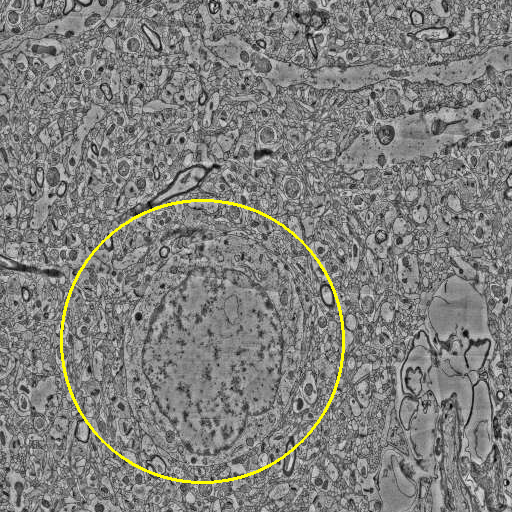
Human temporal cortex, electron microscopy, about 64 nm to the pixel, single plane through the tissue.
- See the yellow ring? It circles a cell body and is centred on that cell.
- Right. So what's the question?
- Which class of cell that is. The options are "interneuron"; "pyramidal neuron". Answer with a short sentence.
The centre of the ring holds an interneuron.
